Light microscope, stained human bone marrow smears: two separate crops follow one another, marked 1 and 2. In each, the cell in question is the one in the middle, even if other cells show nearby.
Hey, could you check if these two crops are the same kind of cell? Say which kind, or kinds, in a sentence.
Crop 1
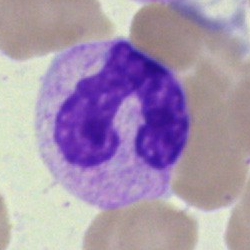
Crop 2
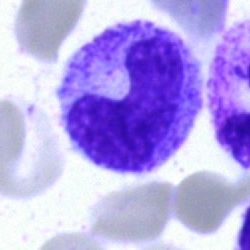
Yes, in both of the crops, the central cells are band neutrophils.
